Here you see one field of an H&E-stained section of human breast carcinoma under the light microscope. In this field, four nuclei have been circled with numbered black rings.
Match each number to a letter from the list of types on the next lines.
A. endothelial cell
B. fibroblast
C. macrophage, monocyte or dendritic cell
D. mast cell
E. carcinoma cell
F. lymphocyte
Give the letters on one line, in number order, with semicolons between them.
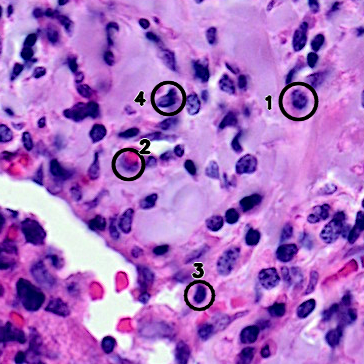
D; A; F; F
